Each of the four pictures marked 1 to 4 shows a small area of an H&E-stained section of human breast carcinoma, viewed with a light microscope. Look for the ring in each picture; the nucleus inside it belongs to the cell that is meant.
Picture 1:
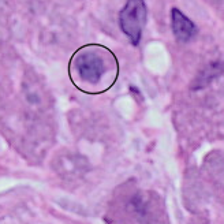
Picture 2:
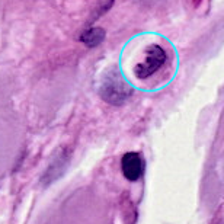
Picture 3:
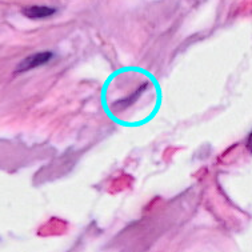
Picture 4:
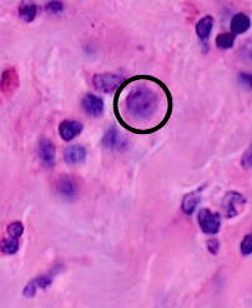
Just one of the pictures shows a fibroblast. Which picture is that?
3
